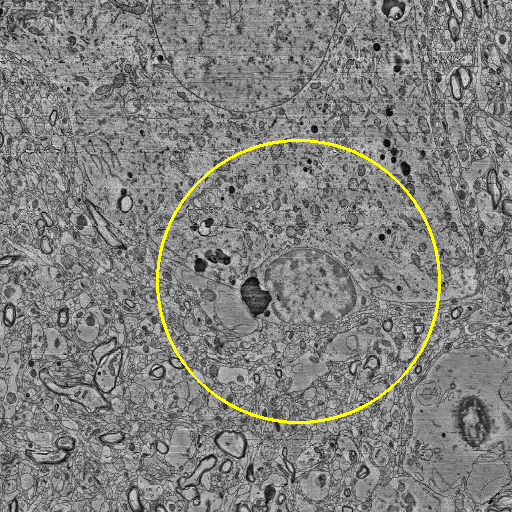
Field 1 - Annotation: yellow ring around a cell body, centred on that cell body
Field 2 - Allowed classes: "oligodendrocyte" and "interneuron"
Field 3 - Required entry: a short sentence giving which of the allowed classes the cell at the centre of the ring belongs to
The centred cell is an oligodendrocyte.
